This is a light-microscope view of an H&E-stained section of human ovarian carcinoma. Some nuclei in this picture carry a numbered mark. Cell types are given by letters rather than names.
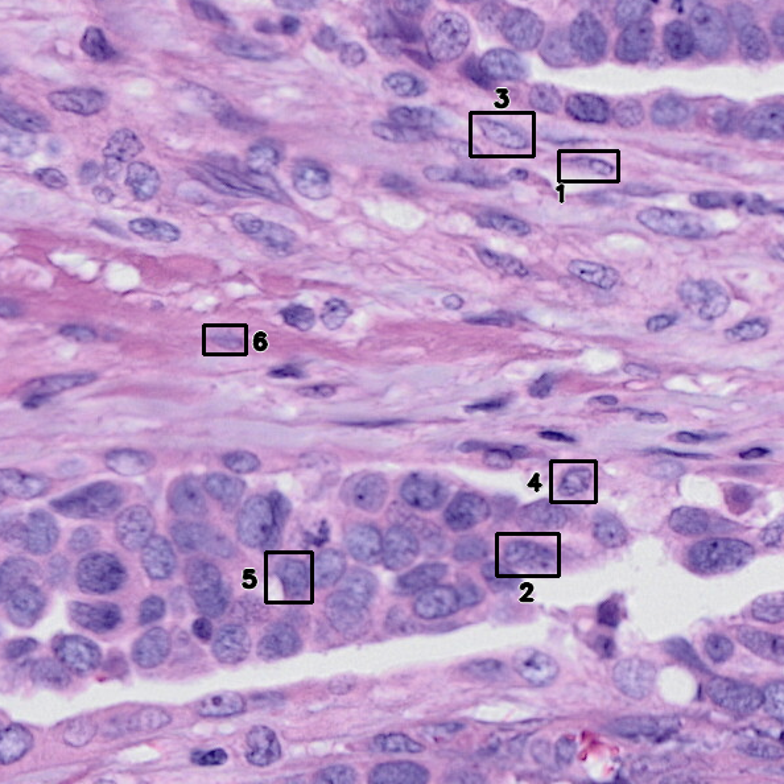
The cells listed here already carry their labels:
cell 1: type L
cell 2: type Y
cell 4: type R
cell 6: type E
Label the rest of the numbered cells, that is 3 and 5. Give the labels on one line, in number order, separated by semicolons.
type L; type Y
